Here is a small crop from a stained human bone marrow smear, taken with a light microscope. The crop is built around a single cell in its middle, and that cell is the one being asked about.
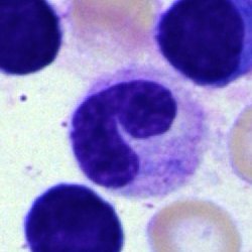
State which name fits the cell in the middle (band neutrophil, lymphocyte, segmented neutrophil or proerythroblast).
band neutrophil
